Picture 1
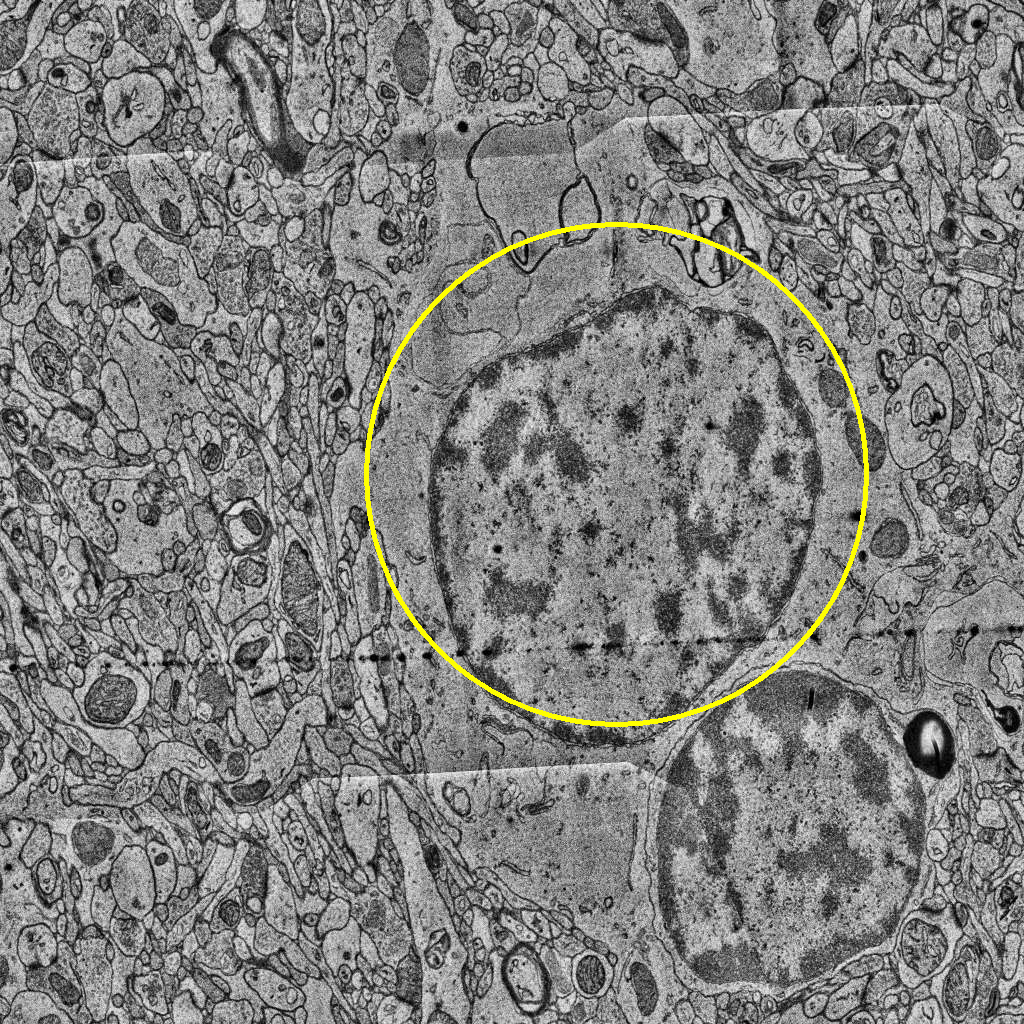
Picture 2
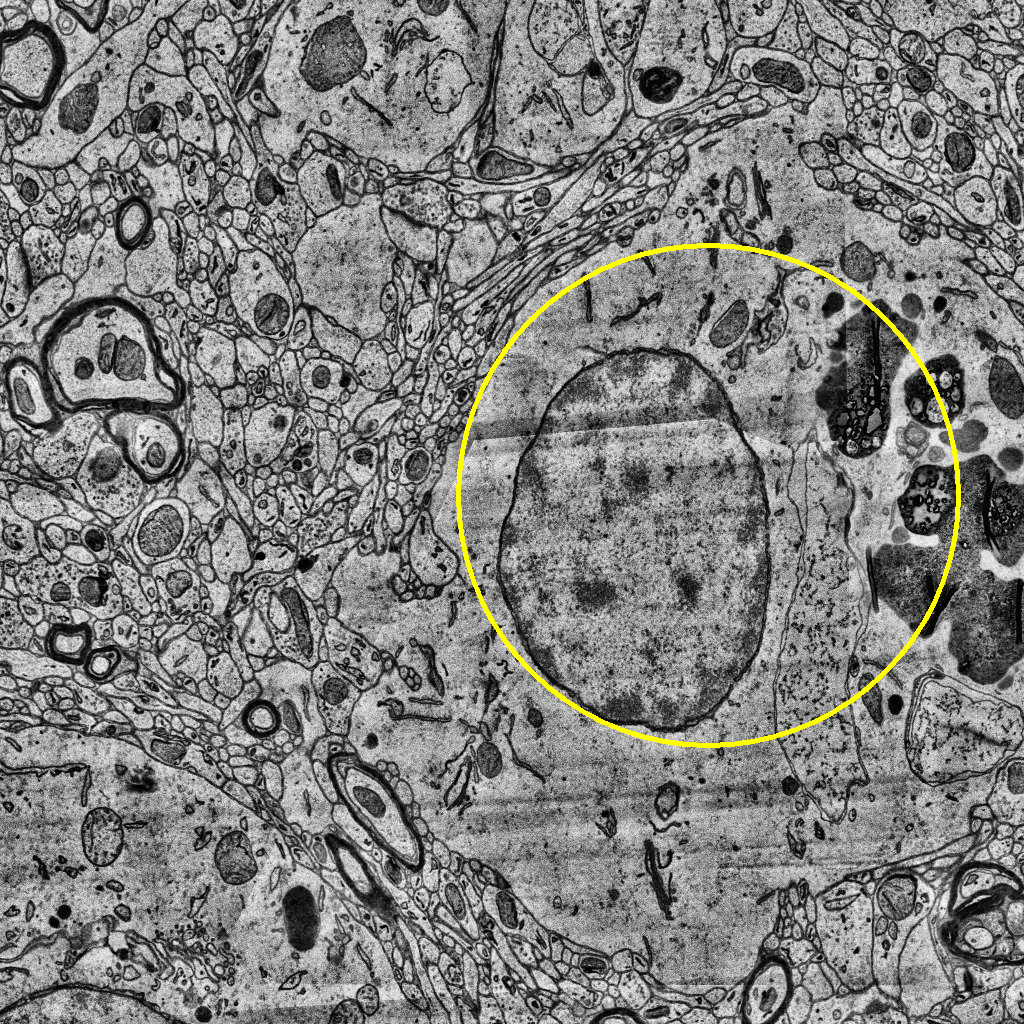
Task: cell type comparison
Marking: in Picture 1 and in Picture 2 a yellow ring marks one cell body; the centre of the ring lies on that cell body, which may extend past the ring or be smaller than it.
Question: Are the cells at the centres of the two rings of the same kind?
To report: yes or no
yes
